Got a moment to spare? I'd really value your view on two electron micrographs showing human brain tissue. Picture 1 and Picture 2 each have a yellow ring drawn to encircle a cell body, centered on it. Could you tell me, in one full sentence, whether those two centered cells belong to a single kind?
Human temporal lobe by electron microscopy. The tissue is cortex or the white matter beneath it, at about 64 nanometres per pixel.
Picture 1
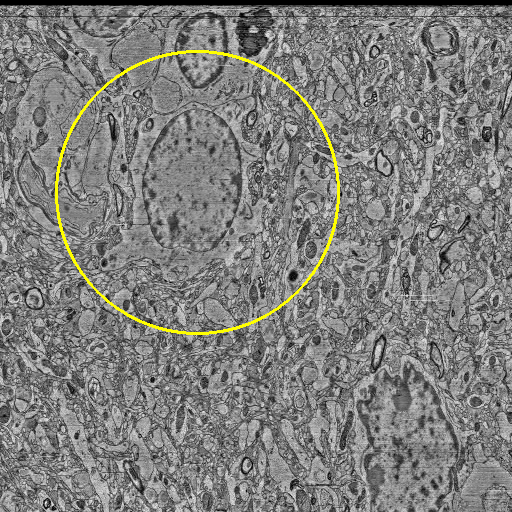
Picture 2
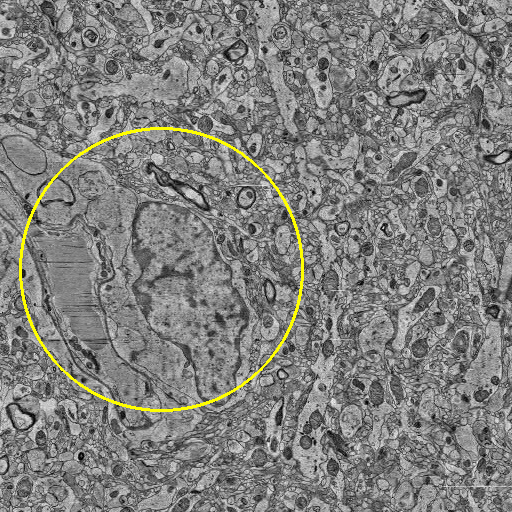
No, the two centered cells in Picture 1 and Picture 2 are of two kinds.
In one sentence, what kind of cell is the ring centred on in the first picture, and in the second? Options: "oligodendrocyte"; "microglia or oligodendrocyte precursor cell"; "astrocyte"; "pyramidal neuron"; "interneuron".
The cell at the centre of the second ring is a microglial cell or oligodendrocyte precursor cell; the first ring's cell is an astrocyte.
